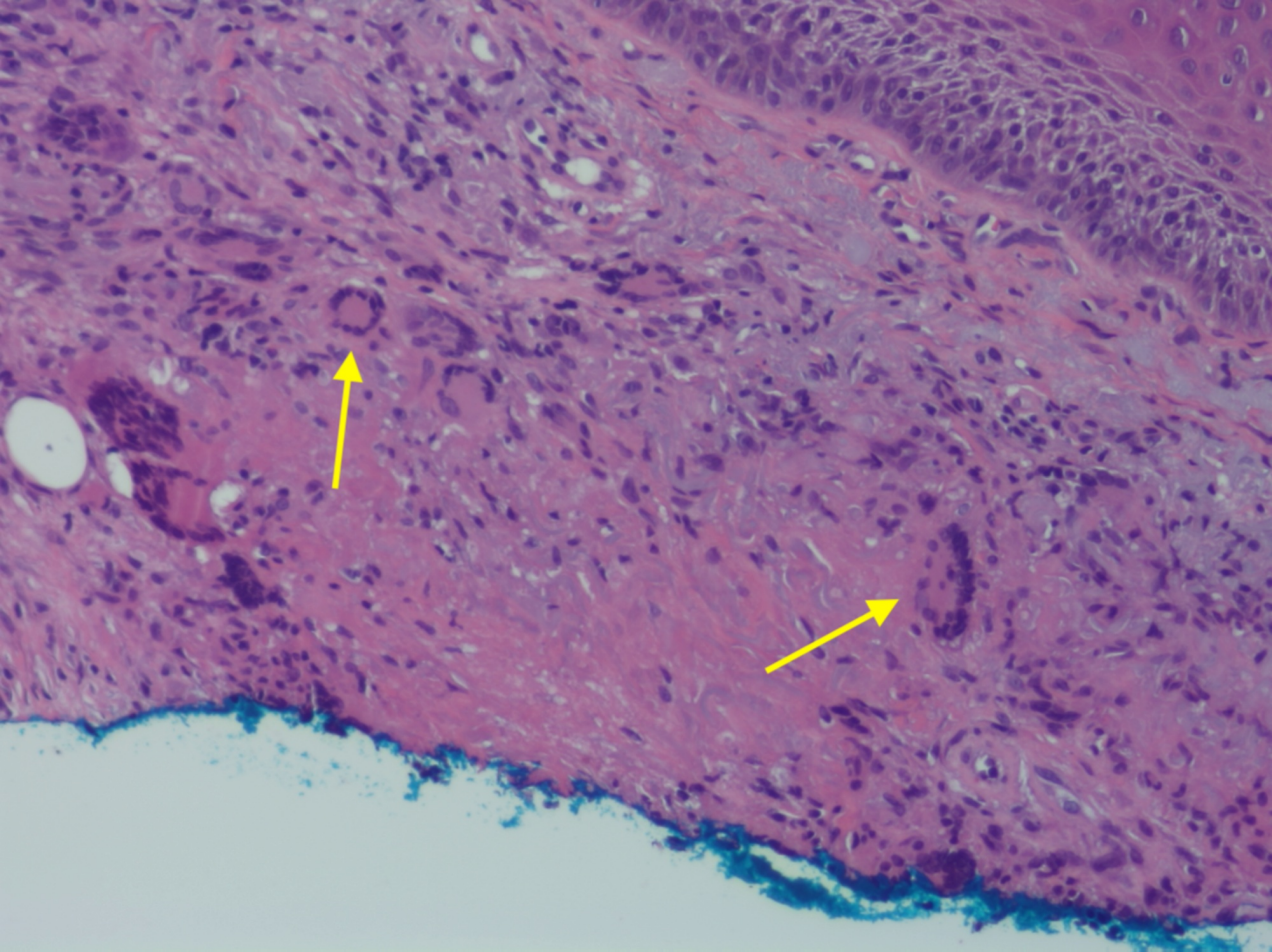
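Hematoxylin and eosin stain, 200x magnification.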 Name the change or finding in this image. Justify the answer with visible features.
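Granulomatous inflammation. Several large multinucleated cells lie scattered in the connective tissue. Many plump, pale, elongated cells and dark round cells crowd the tissue between them. Squamous epithelium lies at the upper right edge above the inflamed tissue.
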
